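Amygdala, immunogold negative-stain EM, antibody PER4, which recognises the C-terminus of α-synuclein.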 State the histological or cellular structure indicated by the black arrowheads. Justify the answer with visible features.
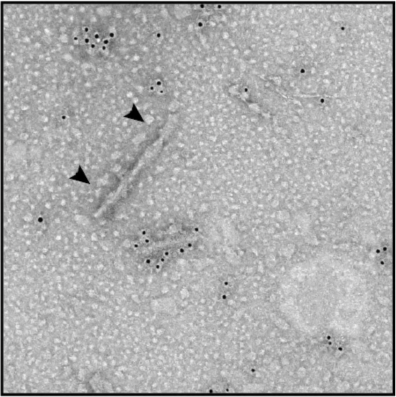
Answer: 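Paired helical filament. The arrowheads flank a long filament that carries no gold particles. Nearby smaller filament clusters are decorated with black gold dots.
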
